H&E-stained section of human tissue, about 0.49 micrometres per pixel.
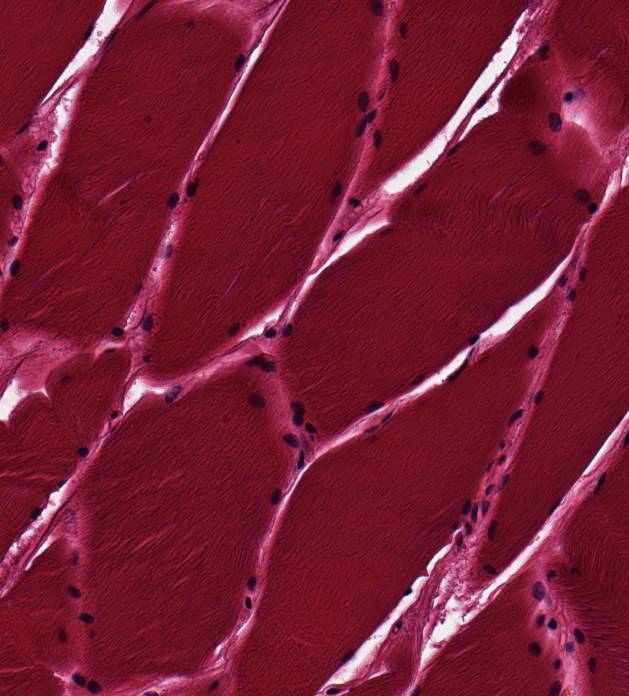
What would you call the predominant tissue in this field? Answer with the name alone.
skeletal muscle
